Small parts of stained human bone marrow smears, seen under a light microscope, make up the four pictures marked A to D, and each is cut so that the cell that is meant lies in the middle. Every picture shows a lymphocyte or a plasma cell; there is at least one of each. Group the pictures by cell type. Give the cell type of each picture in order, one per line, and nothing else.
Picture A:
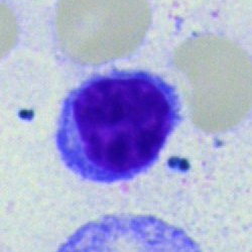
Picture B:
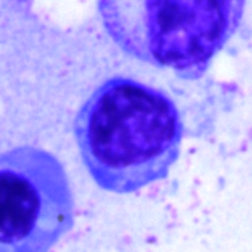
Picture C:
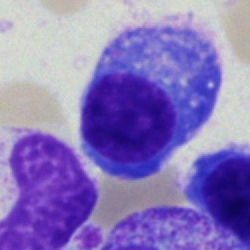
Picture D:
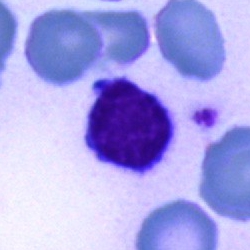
lymphocyte
lymphocyte
plasma cell
lymphocyte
